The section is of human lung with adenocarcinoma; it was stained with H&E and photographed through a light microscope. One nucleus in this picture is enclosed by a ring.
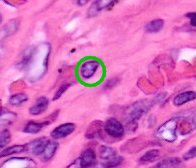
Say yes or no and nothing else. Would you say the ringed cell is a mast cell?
yes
